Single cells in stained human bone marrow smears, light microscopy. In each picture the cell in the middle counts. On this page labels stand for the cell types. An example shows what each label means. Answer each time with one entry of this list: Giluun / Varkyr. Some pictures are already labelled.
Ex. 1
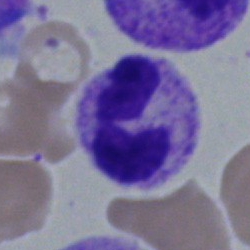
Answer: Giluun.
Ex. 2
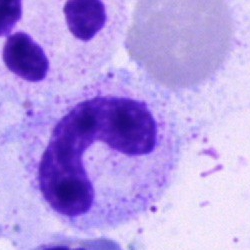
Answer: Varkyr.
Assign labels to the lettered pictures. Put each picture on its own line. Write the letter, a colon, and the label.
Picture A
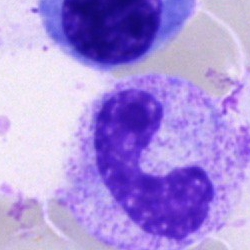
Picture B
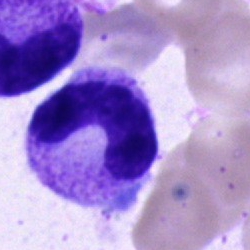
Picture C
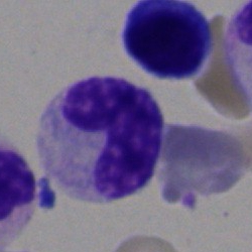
A: Varkyr.
B: Varkyr.
C: Varkyr.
